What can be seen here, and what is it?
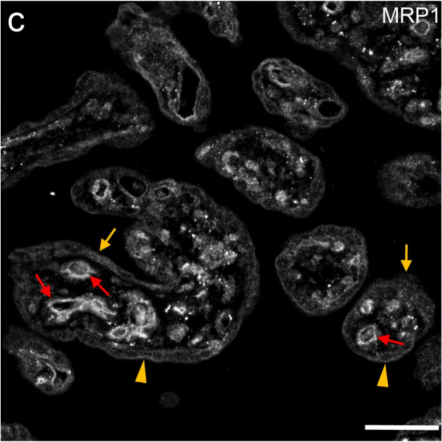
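Sections of placental villi show grey-white signal on a black background. The outer covering of each villus carries signal both as a thin continuous line along the surface and as small dot-like granules just beneath it. Inside the villi, ring-shaped and elongated profiles of vessels stand out with bright walls. The stroma between them shows weaker, patchy signal. Unlabelled dark space separates neighbouring villi.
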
